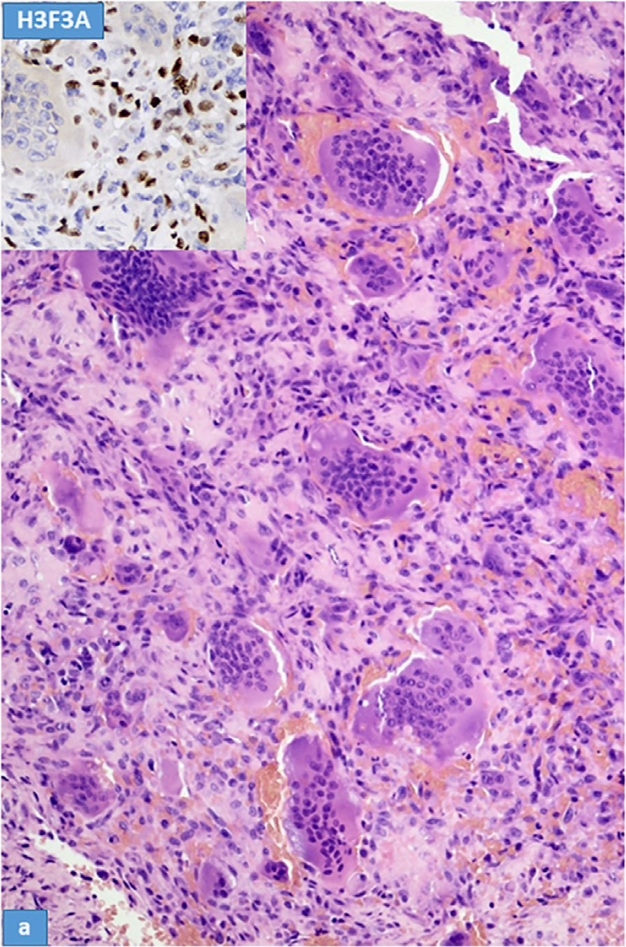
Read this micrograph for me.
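This is a cellular tumour made of many large multinucleated giant cells lying evenly scattered among smaller stromal cells. The giant cells have abundant pink-purple cytoplasm and contain dense clusters of many oval nuclei. The stromal cells between them are plump to spindle-shaped with oval nuclei and indistinct cytoplasm. The background is pink and slightly fibrous, with areas of extravasated red blood cells. In the inset, brown nuclear staining is seen in many small stromal cells, while the nuclei of a giant cell remain blue and unstained.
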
